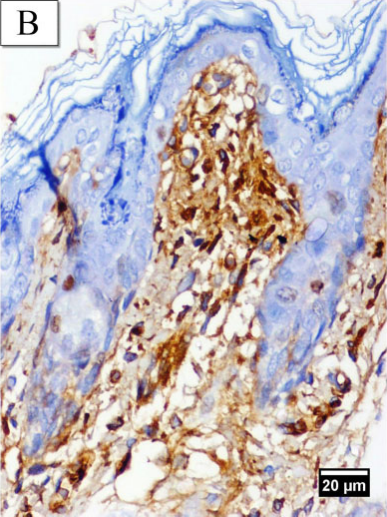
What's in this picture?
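This section of skin shows a stratified epidermis of pale blue keratinocytes beneath a thin, wavy, flaking cornified layer. A broad projection of dermis rises between epidermal ridges and is packed with intensely brown-stained, spindle-shaped cells. The loose connective tissue below is also rich in brown-stained cells, with pale spaces between the fibres. Most of the epidermal nuclei, including those along its base, remain blue.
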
